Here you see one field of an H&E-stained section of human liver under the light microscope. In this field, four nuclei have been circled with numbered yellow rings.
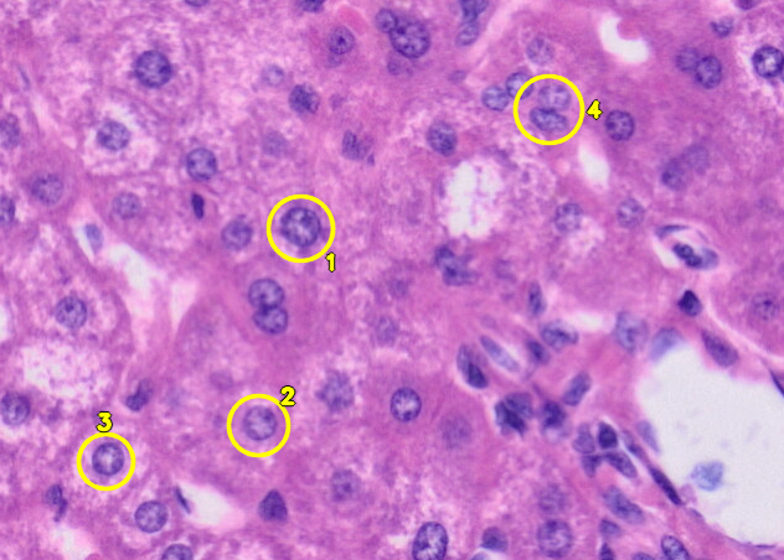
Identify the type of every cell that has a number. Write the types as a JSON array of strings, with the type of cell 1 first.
["hepatocyte", "hepatocyte", "hepatocyte", "cholangiocyte"]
